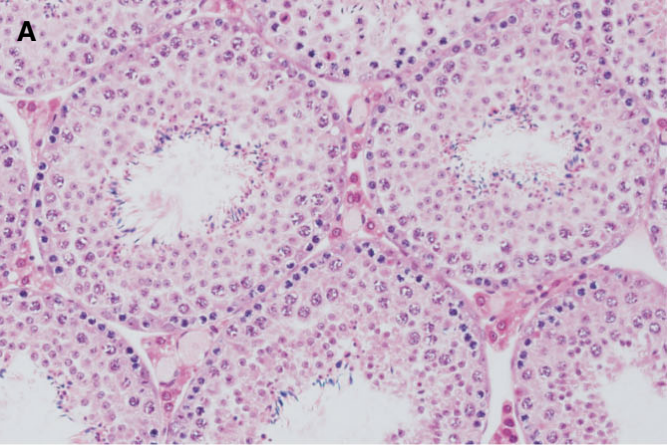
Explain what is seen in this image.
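These are cross sections of seminiferous tubules of the testis, each lined by a thick, many-layered epithelium of germ cells around a central lumen. Near the base of each tubule lie small cells with dark purple nuclei, and above them sit larger round cells with paler, grainy nuclei. Toward the lumen the cells become smaller and round, and dark slender heads of elongated spermatids line the lumen edge with pale pink tails streaming into it. Between the tubules lie narrow spaces holding small groups of cells with pink cytoplasm and small vessels. The layered pattern is regular in every tubule, as in active spermatogenesis.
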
